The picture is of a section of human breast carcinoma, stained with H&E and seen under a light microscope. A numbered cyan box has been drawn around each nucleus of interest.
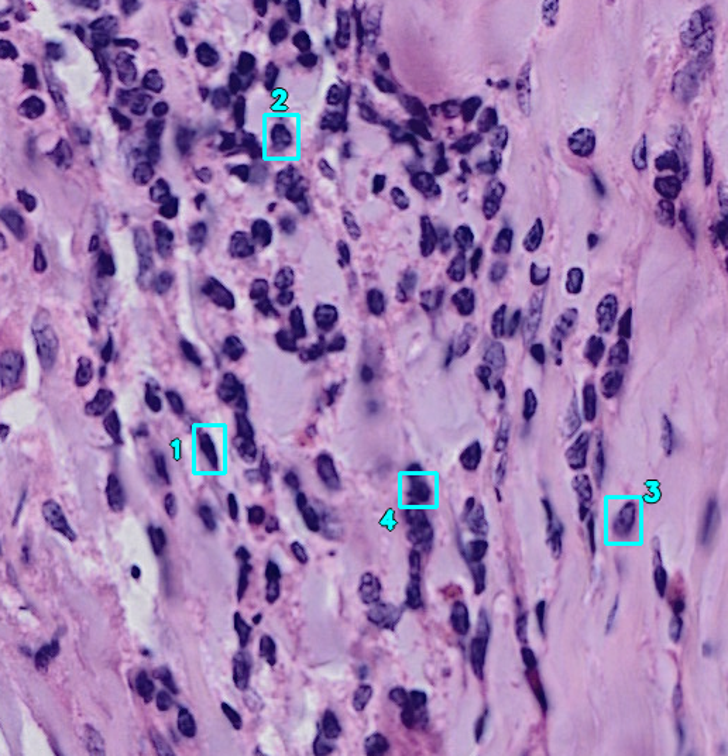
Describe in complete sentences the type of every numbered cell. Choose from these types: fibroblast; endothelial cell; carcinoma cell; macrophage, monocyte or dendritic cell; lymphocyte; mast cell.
Cell 1 is a lymphocyte, cell 2 is a lymphocyte, cell 3 is a mast cell and cell 4 is a lymphocyte.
